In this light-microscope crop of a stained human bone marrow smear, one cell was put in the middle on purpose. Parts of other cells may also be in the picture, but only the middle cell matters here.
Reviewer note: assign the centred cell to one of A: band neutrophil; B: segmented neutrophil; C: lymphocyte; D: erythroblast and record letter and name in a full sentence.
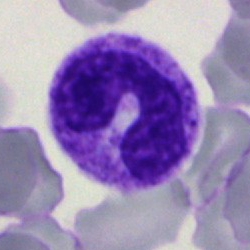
Here the central cell is a band neutrophil, and option A is correct.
